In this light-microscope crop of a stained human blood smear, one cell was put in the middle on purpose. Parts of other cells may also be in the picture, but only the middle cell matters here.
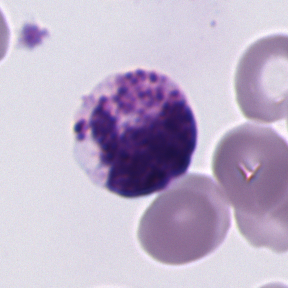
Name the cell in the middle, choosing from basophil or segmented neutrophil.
basophil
